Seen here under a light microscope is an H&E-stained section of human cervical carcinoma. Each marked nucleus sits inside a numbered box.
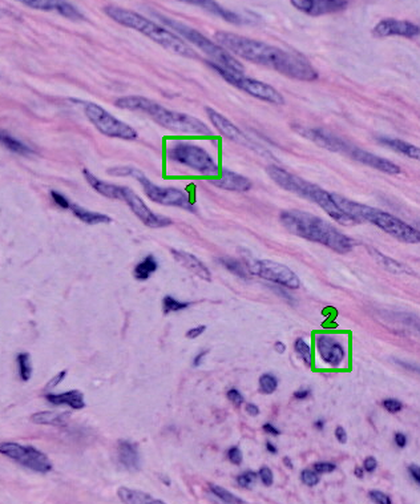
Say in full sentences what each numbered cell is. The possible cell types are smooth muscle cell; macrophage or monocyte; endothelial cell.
Cell 1 is a smooth muscle cell and cell 2 is an endothelial cell.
